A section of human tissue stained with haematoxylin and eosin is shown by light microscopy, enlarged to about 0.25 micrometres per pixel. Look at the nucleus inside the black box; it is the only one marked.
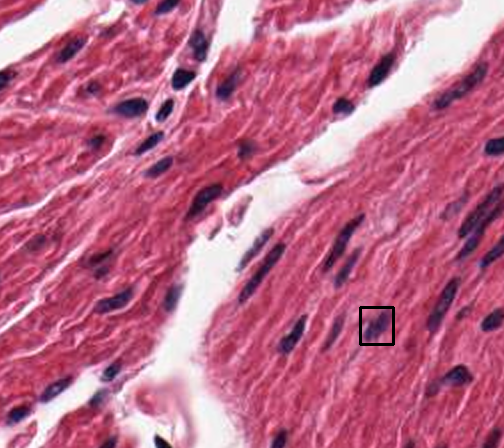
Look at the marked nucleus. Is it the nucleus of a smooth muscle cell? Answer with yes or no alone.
yes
